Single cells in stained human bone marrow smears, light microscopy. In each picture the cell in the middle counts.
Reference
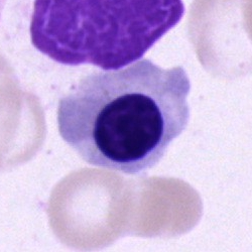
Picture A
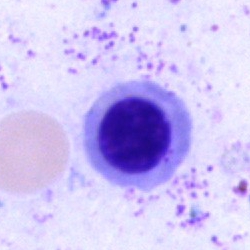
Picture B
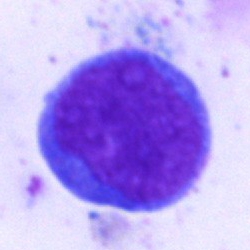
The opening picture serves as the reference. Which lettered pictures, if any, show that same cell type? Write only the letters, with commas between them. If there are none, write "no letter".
A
